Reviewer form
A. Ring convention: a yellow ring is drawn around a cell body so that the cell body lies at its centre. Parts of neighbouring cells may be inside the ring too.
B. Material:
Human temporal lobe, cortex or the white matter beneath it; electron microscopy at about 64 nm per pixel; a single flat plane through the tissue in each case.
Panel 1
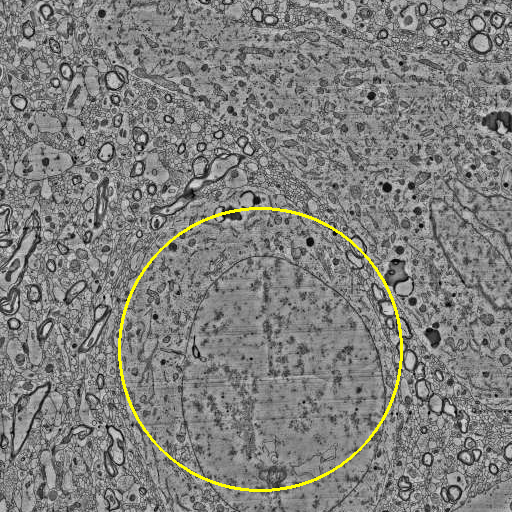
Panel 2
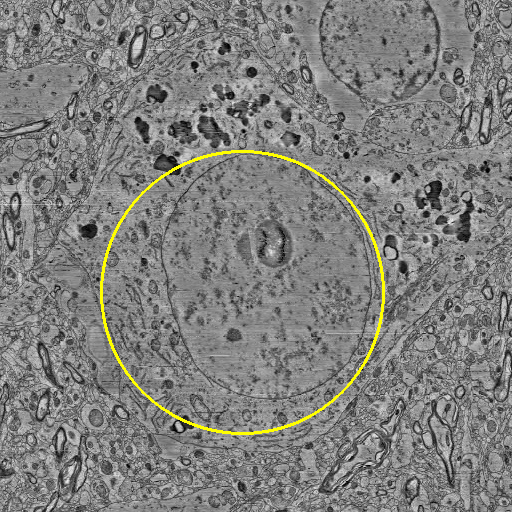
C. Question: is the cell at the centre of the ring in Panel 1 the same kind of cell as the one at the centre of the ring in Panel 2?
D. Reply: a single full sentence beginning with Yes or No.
Yes, the cells in Panel 1 and Panel 2 are the same kind of cell.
